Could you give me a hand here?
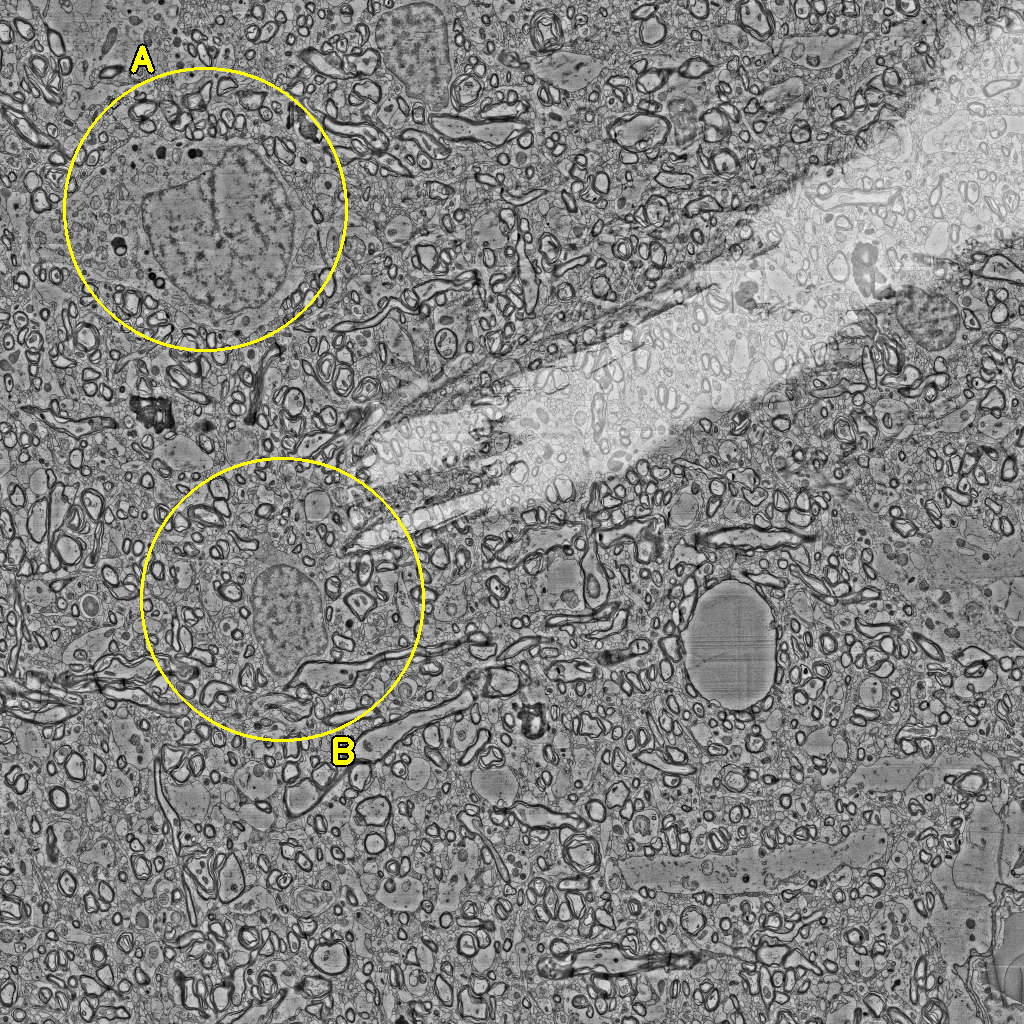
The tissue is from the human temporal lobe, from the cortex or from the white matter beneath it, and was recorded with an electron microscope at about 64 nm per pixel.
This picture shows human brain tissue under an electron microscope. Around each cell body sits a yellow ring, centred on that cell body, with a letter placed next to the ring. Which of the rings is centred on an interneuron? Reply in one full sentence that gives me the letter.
The cell asked for sits at the centre of ring A in the picture.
